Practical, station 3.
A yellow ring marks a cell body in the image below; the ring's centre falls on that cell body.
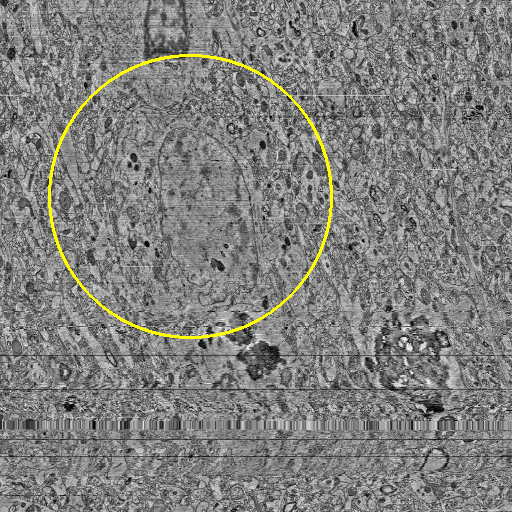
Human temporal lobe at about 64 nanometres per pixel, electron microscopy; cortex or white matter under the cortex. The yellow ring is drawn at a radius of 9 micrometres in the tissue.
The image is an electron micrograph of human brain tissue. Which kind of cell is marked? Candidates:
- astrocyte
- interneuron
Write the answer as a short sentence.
The marked cell body is that of an interneuron.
